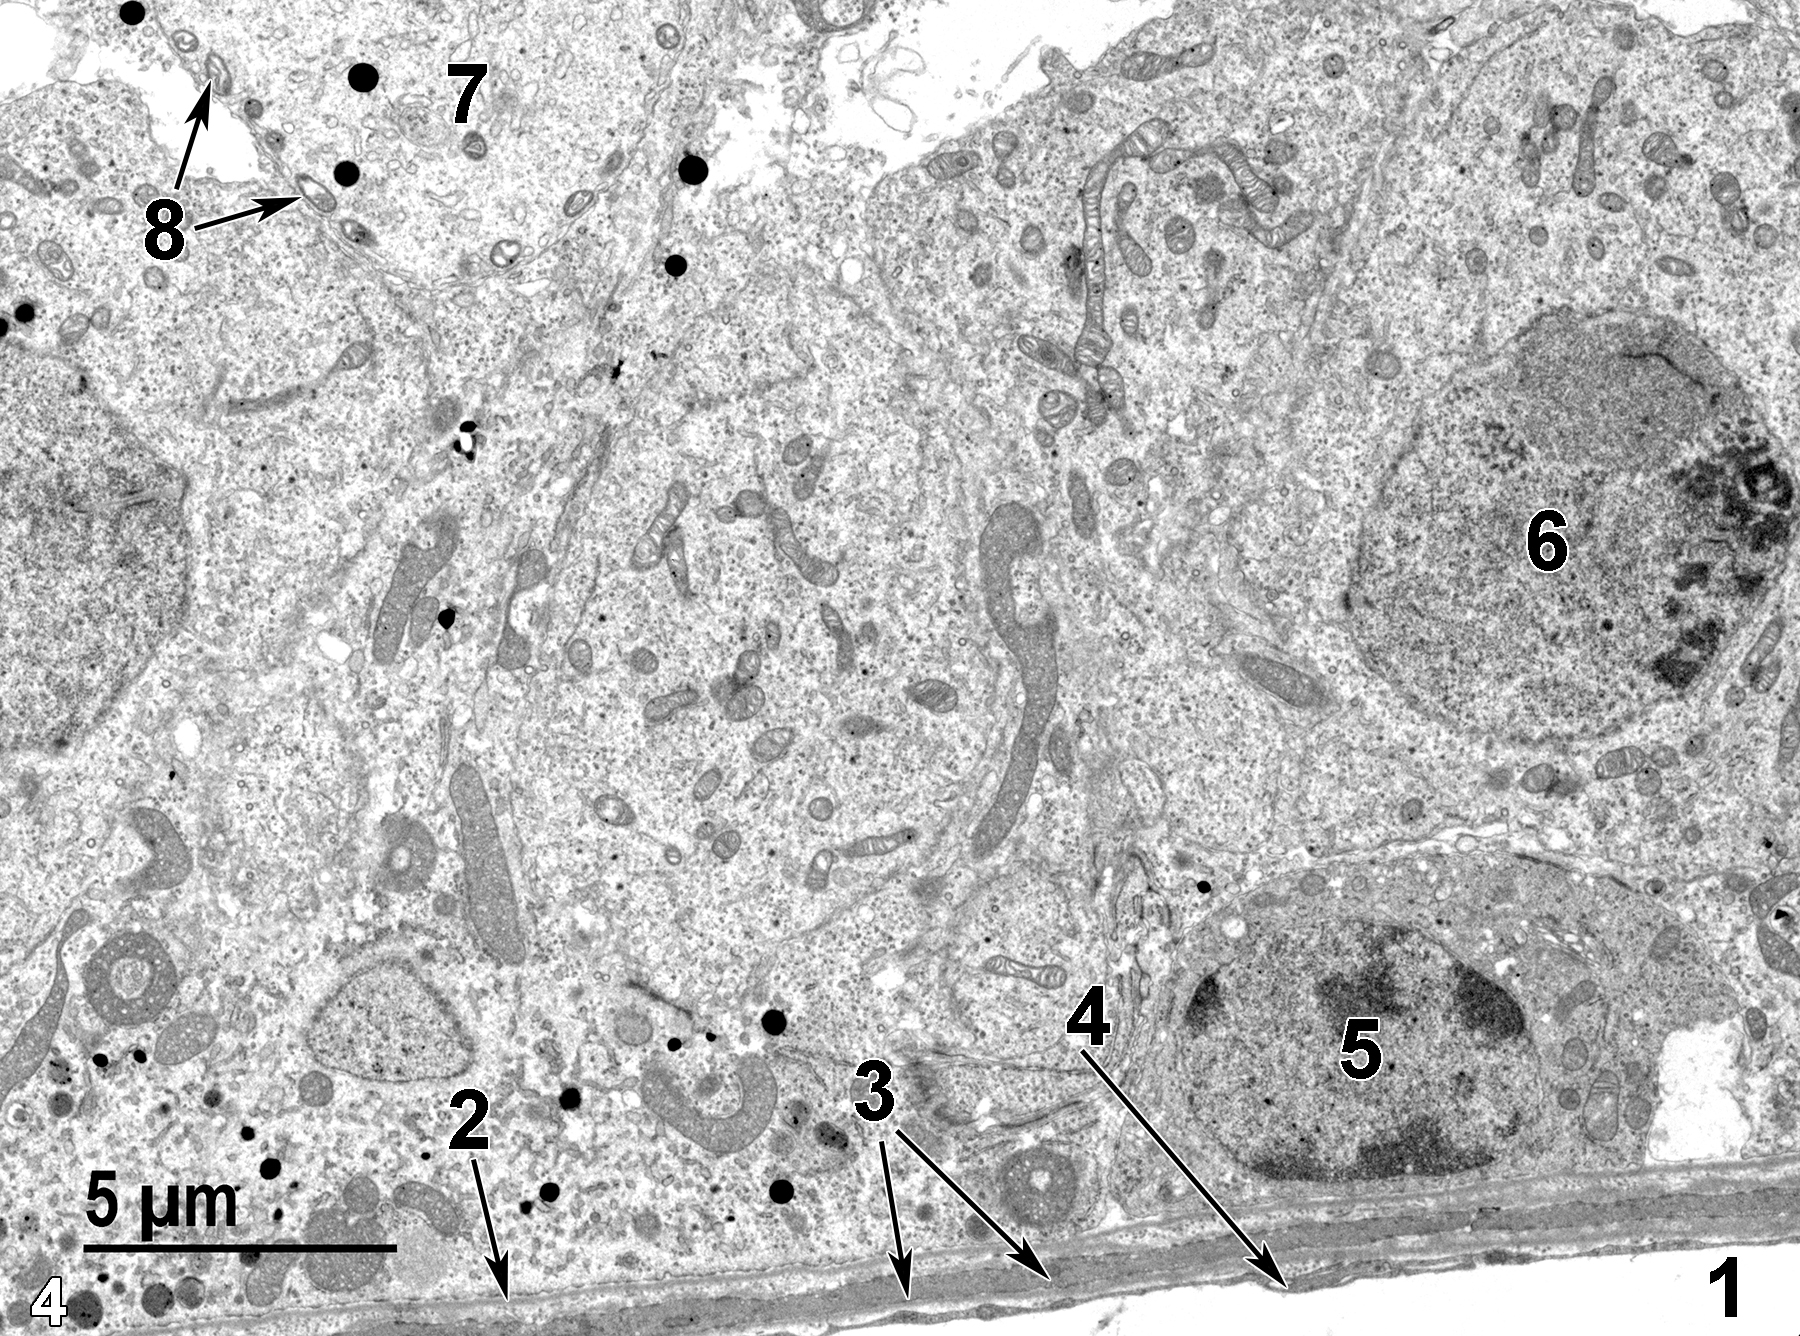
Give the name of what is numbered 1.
Peritubular lymphatic space.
